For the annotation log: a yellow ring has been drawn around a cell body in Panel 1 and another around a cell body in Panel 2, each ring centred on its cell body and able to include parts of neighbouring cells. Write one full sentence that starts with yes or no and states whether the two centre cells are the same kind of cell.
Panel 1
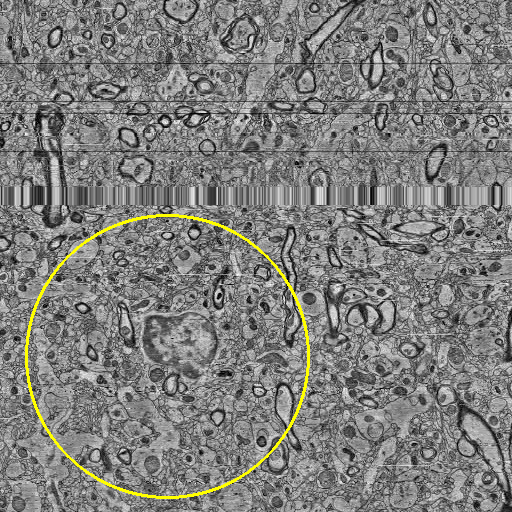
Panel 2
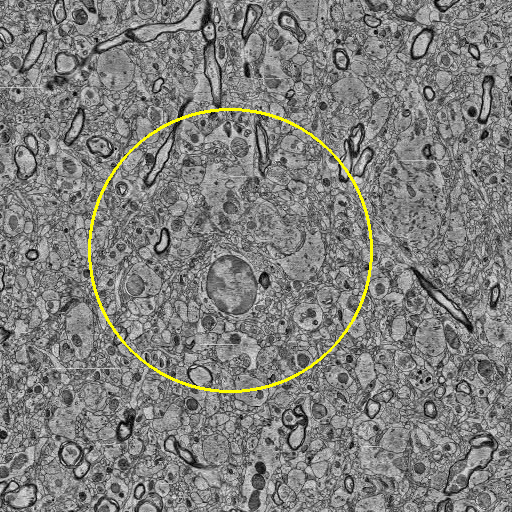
Yes, the two centre cells are the same kind of cell.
